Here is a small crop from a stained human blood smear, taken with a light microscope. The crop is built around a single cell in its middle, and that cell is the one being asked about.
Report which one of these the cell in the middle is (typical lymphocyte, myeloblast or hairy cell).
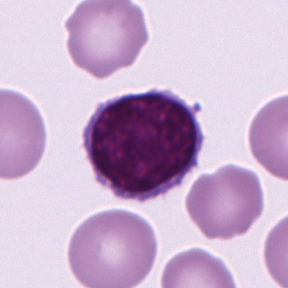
typical lymphocyte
